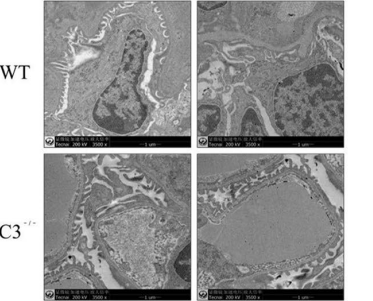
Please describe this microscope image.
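These are electron micrographs of renal glomeruli showing podocytes lying against glomerular capillary loops. The images are greyscale, with dense dark nuclei and paler cytoplasm. Open, empty capillary lumens are bordered by a thin dark basement membrane. Small processes of these cells line the outer surface of the membrane. One image shows a large, mostly empty capillary lumen outlined by a thin wall. Another contains a cell with a large, dark, irregular nucleus surrounded by crowded, disordered tissue, where the regular lining along the membrane is harder to make out.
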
